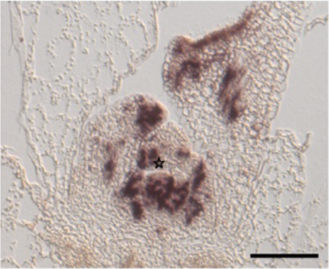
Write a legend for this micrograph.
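Longitudinal section through the shoot apex: a dome of small, densely packed cells is flanked by young leaf primordia. Dark purple deposits lie in scattered patches of cells across the dome and in the primordium, leaving neighbouring cells unstained. Below and around, larger, pale, vacuolated cells form the surrounding tissue.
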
